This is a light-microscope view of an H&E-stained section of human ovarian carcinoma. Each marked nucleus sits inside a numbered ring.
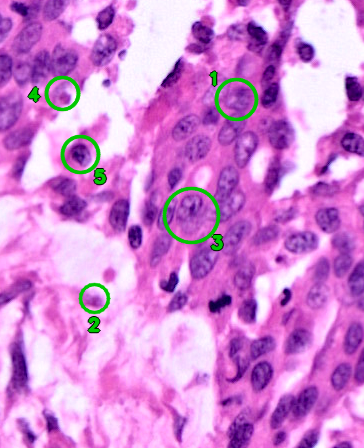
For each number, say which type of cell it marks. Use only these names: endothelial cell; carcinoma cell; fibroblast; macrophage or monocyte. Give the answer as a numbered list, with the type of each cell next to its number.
1. carcinoma cell
2. fibroblast
3. carcinoma cell
4. carcinoma cell
5. macrophage or monocyte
